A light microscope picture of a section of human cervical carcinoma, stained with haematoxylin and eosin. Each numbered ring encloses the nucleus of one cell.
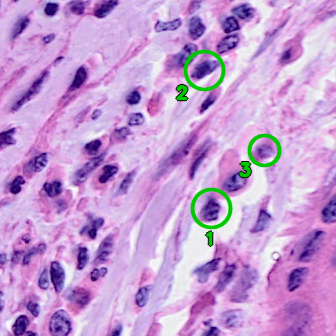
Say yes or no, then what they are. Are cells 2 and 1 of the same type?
Yes, cells 2 and 1 both count as lymphocytes.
